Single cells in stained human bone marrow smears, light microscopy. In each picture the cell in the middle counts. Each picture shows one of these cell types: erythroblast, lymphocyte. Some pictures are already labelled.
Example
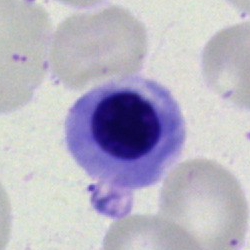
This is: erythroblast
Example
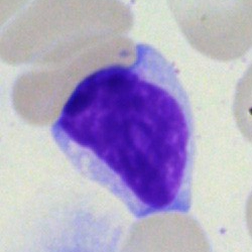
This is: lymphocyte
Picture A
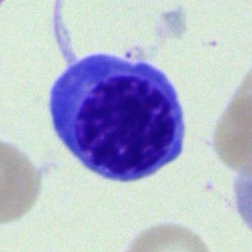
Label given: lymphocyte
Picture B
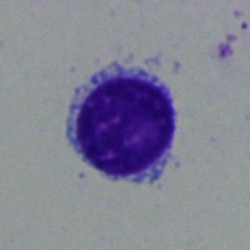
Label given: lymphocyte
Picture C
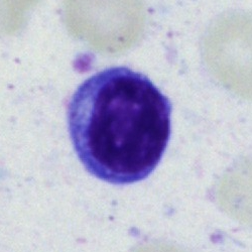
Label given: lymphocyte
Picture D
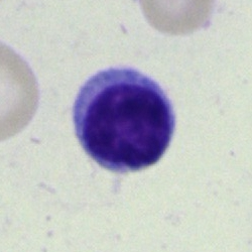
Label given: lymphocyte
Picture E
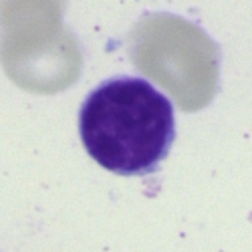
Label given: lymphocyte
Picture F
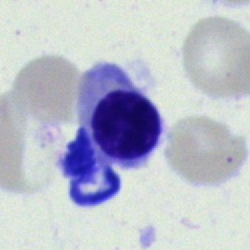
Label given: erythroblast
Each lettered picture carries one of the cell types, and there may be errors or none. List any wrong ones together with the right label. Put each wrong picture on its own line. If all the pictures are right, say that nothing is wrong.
A is labelled lymphocyte; correct label: erythroblast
